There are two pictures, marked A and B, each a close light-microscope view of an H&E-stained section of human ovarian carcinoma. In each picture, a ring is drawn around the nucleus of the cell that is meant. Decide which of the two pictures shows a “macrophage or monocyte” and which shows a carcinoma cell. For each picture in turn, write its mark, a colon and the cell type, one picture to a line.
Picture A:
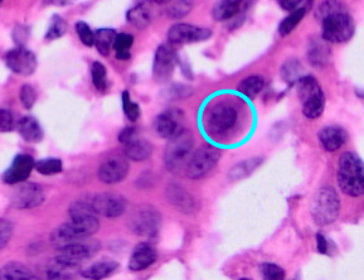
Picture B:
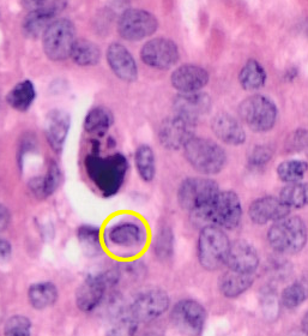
A: carcinoma cell
B: macrophage or monocyte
